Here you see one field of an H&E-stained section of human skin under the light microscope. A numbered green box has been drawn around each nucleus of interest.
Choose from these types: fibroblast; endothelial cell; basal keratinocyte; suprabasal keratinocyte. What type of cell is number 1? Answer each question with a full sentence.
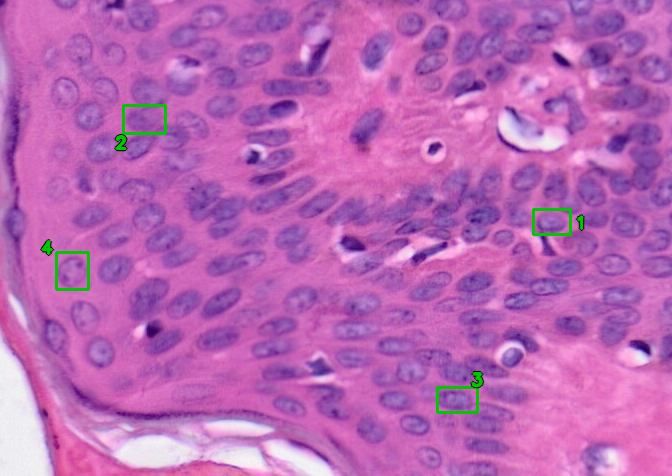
The cell identified by number 1 is a basal keratinocyte.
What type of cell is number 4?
The cell pointed out as number 4 is a suprabasal keratinocyte.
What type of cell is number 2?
That cell with number 2 is a suprabasal keratinocyte.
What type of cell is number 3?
The nucleus labelled 3 belongs to a suprabasal keratinocyte.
